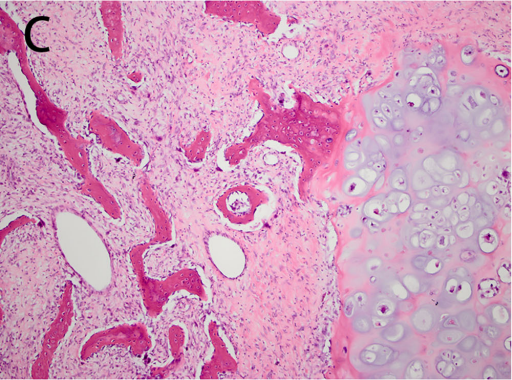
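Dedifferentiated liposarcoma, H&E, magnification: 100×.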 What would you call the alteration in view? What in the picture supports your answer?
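Irregular pink trabeculae of bone-like matrix within cellular stroma on the left. Bluish-grey cartilage matrix with cells in lacunae on the right.
Conclusion: osteosarcoma and chondrosarcoma-like differentiation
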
